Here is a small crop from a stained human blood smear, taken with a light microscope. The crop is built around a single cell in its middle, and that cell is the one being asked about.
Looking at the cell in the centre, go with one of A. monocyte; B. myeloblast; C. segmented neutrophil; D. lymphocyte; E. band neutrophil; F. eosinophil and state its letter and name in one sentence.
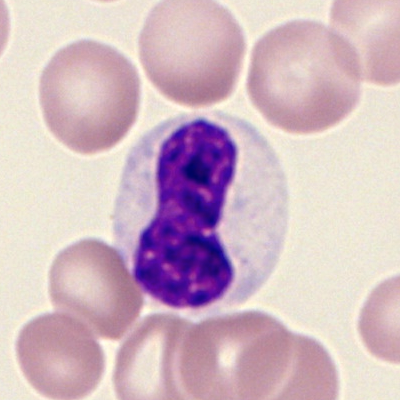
The cell shown centrally is a band neutrophil; option E is the correct option.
